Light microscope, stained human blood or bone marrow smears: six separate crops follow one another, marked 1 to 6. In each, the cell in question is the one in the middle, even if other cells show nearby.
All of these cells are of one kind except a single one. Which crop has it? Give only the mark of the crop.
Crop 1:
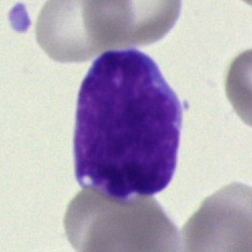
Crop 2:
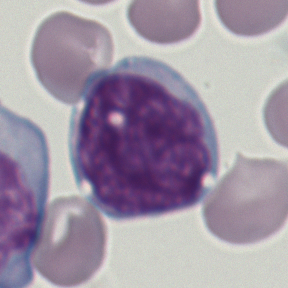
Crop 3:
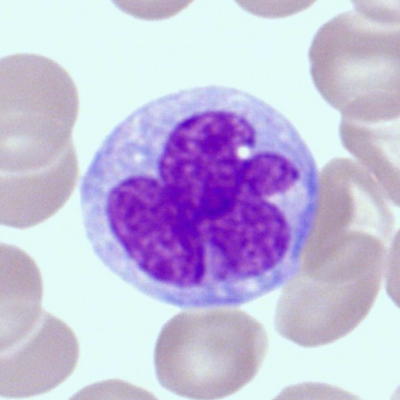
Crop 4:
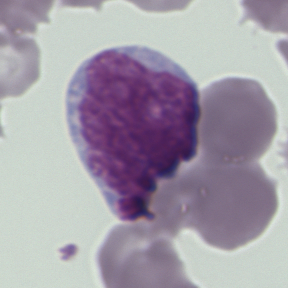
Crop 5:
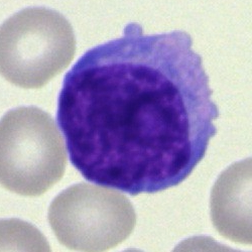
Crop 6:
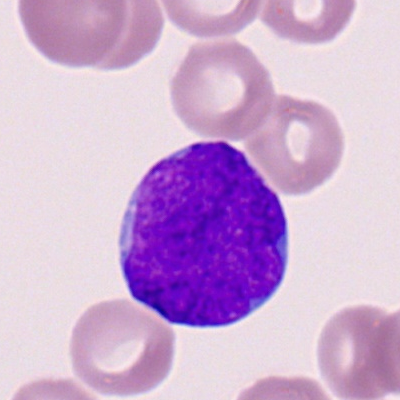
3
